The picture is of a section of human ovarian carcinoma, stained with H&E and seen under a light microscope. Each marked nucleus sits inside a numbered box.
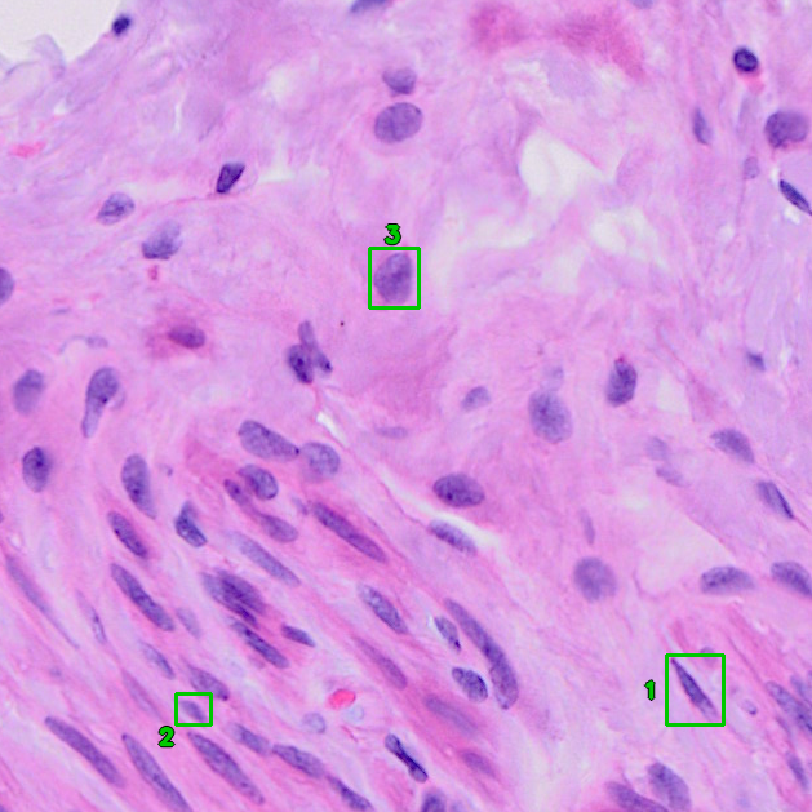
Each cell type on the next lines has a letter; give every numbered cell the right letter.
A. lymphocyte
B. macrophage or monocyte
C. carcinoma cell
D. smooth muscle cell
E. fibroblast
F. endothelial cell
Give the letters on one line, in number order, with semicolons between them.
D; D; E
